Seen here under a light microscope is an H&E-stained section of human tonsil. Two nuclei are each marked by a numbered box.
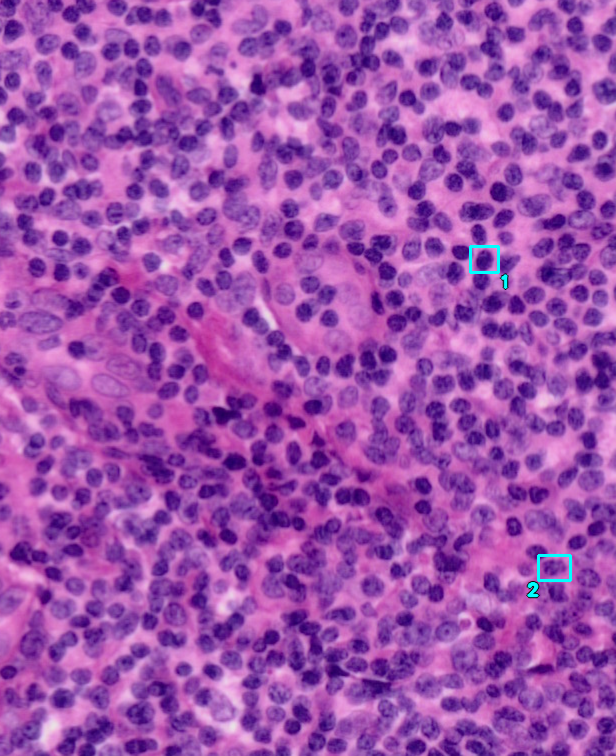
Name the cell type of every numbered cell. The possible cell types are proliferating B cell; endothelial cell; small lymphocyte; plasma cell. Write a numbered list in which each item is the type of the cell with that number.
1. small lymphocyte
2. plasma cell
